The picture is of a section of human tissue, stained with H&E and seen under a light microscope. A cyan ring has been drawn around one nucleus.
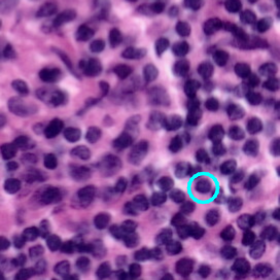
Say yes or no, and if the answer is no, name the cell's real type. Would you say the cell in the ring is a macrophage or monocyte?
No, it is a small lymphocyte.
